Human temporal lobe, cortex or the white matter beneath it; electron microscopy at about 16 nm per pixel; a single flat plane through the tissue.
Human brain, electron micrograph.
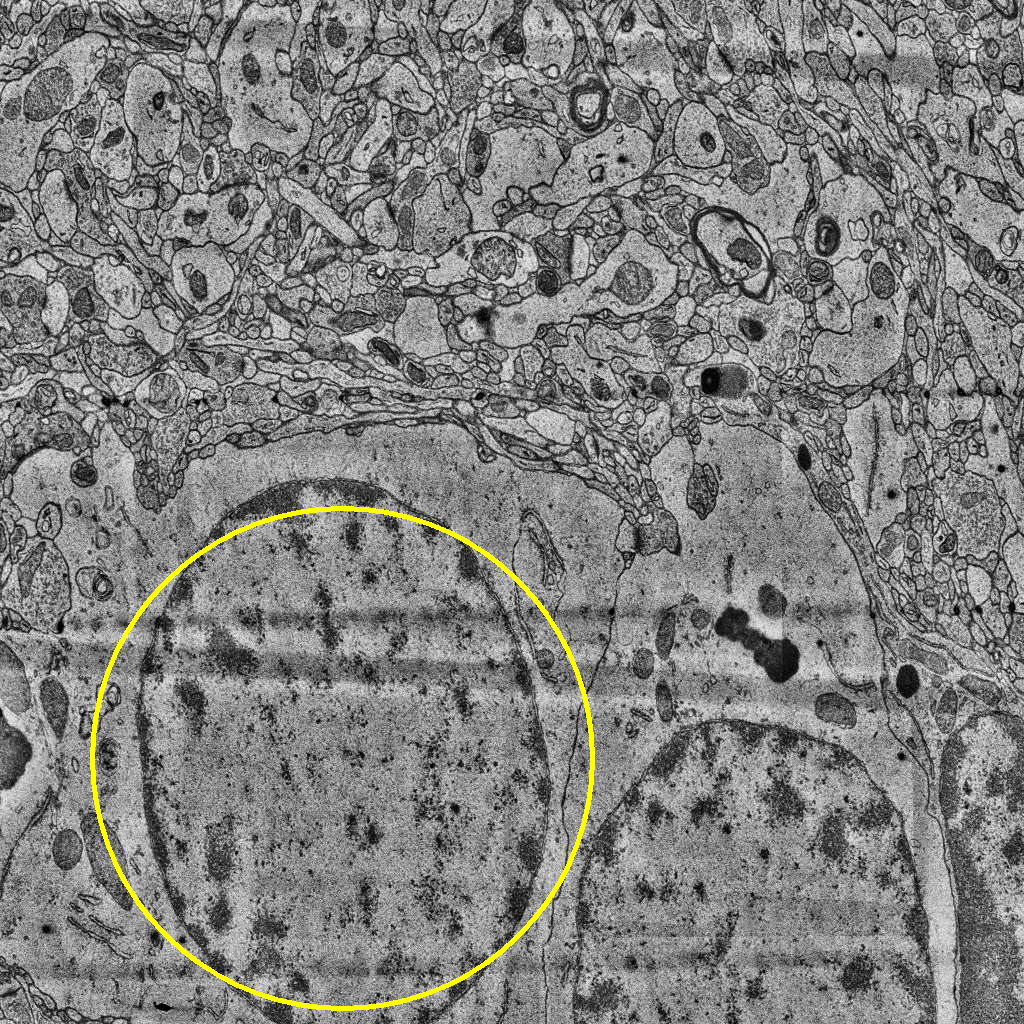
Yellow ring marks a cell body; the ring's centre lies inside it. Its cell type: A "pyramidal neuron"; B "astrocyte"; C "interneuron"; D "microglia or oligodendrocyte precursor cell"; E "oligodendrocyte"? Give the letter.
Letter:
B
